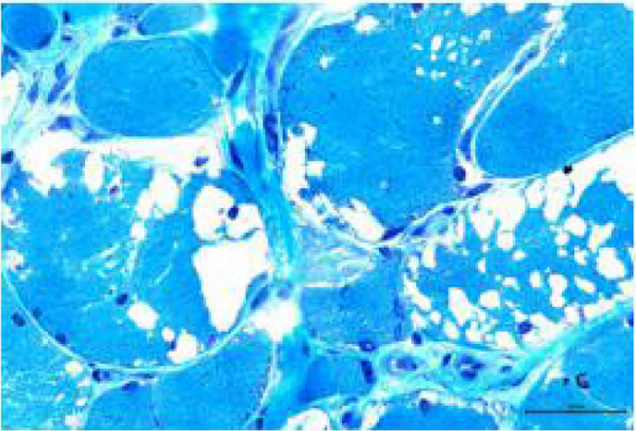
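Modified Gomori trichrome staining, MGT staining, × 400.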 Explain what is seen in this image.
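Cross-sectioned muscle fibers stain blue-green and are rounded with variable size. Many fibers contain numerous clear white vacuoles of different sizes, some clustered near the fiber border, and dark nuclei lie in the pale connective tissue between fibers.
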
